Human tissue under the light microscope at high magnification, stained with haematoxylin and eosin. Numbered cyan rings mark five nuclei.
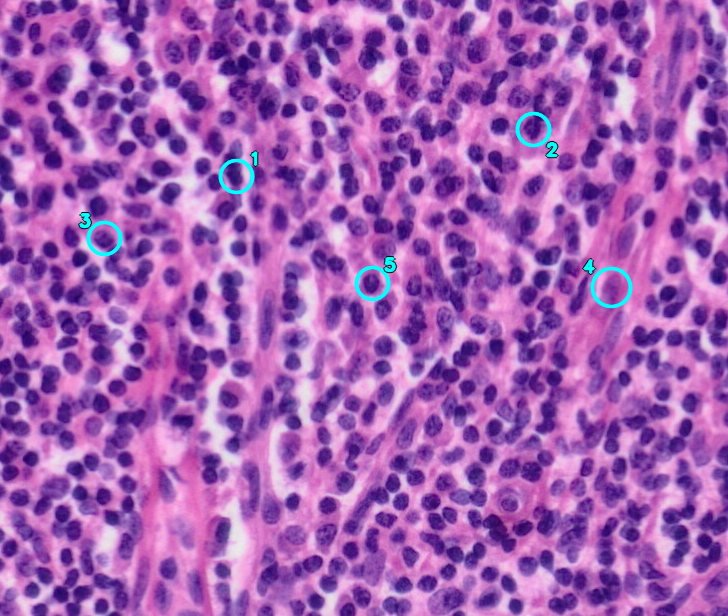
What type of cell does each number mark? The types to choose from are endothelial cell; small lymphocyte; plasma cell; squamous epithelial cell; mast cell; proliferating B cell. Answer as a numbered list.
1. small lymphocyte
2. plasma cell
3. plasma cell
4. endothelial cell
5. plasma cell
